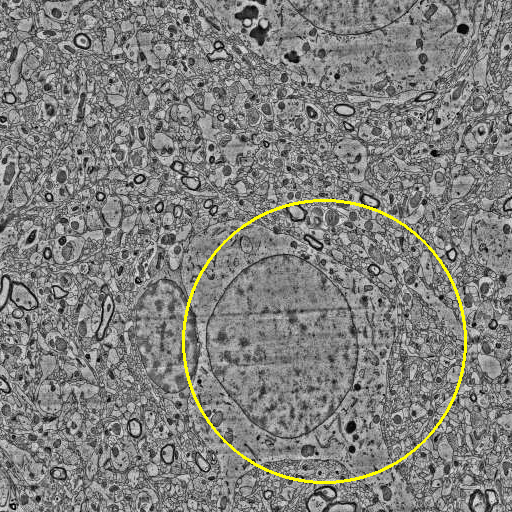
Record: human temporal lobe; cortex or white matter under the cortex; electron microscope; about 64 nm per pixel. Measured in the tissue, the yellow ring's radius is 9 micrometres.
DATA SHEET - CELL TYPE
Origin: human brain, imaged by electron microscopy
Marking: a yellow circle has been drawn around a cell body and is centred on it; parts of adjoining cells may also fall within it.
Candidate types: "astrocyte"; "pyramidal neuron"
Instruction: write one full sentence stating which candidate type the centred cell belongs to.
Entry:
The cell body at the centre of the yellow ring in this micrograph belongs to a pyramidal neuron.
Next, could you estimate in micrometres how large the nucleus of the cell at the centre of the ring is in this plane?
In this plane, the nucleus of the cell at the centre of the ring measures about 12 by 10 micrometres.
